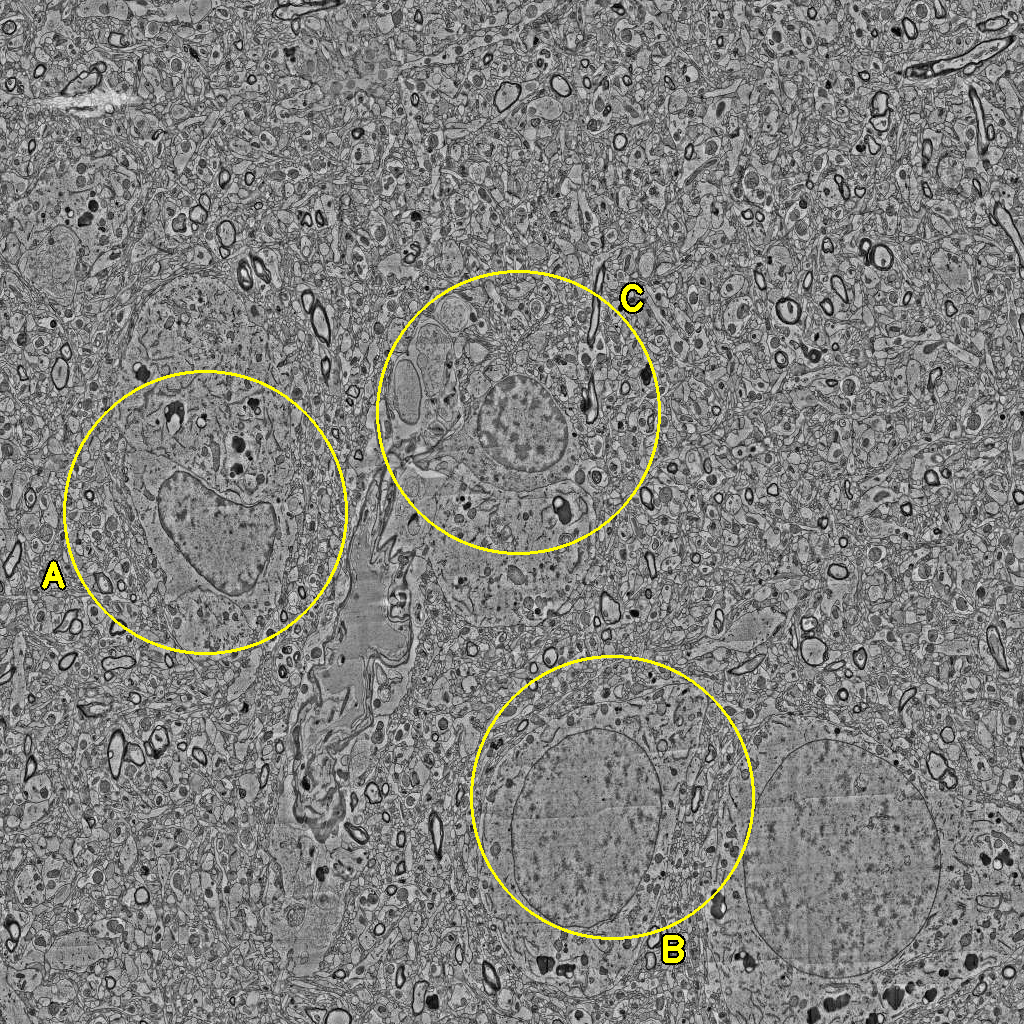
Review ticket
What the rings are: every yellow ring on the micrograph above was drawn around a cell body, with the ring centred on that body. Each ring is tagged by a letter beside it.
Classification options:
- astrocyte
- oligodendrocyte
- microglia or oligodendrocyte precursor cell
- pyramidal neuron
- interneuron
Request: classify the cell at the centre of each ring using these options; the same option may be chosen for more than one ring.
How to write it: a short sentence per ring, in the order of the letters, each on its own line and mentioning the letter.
The cell centred in ring A is a microglial cell or oligodendrocyte precursor cell.
The cell centred in ring B is a pyramidal neuron.
The cell centred in ring C is an oligodendrocyte.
